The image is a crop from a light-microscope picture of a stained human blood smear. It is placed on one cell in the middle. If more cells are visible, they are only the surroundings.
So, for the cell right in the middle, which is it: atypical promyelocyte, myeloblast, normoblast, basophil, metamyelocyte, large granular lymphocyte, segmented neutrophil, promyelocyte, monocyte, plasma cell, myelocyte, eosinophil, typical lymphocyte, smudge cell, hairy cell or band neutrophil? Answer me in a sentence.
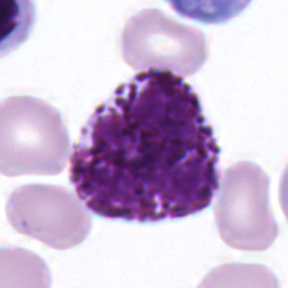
The cell positioned in the middle of the field is a basophil.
